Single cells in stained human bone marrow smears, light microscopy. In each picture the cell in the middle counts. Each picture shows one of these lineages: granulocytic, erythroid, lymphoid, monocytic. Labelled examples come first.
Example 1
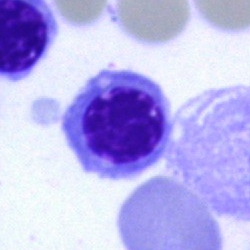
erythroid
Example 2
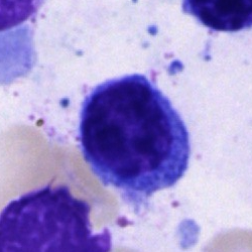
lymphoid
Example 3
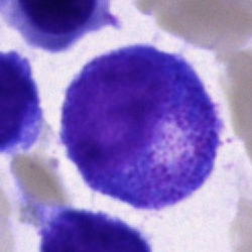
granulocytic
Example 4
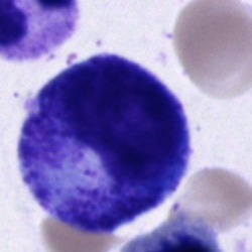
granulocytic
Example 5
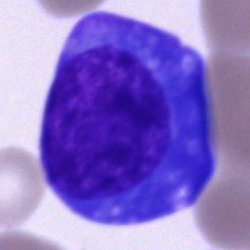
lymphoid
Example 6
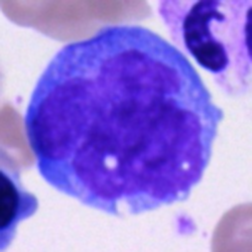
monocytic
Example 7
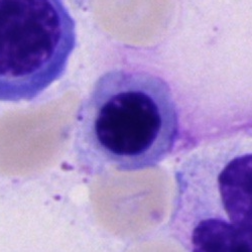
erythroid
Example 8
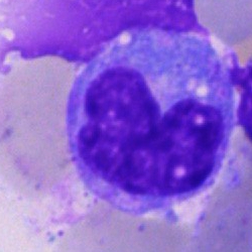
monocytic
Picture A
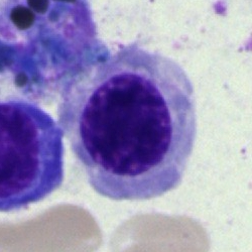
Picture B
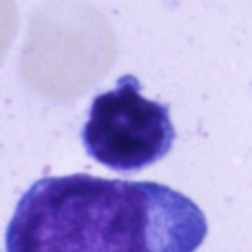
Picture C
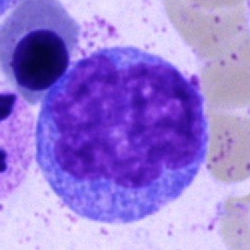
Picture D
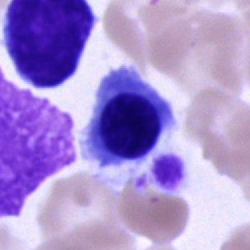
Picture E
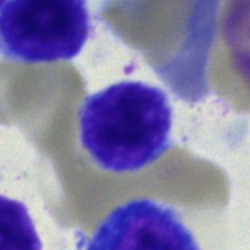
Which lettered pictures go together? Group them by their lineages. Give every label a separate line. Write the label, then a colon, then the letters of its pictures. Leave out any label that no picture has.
erythroid: A, D
lymphoid: B, E
monocytic: C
